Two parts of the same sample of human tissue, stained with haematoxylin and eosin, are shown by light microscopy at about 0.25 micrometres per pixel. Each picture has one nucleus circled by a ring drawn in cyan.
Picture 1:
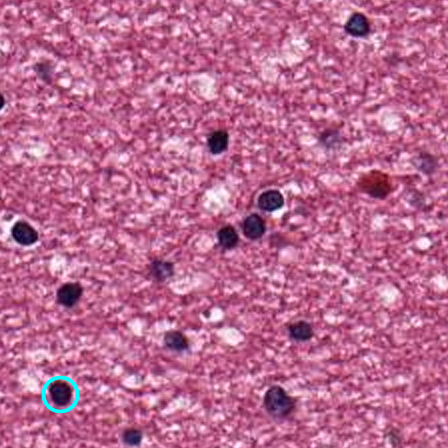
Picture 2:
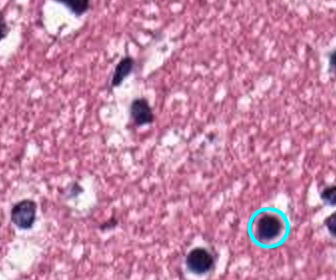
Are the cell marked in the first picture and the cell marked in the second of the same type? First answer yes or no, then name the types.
Yes, both are oligodendrocytes.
